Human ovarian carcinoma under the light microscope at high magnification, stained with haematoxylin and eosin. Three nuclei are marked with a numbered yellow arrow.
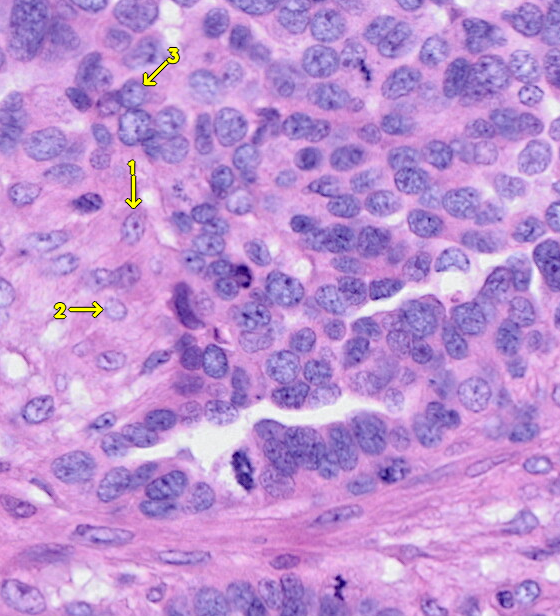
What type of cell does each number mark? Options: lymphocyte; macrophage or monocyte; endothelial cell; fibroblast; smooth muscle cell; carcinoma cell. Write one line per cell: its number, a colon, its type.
1: fibroblast
2: fibroblast
3: carcinoma cell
